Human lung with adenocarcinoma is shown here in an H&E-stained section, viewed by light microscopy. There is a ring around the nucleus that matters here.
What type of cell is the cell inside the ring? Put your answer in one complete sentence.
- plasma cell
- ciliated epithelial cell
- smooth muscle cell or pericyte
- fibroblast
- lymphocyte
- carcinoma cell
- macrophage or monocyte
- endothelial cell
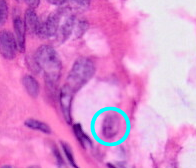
The identity of the cell inside the ring is that of a ciliated epithelial cell.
